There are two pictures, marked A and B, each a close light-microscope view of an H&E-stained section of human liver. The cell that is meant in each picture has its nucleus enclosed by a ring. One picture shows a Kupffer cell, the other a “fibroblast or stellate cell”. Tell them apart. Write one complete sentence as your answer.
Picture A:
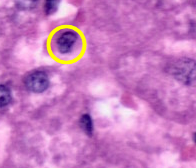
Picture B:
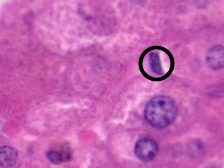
Picture A is of a Kupffer cell, and picture B is of a “fibroblast or stellate cell”.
